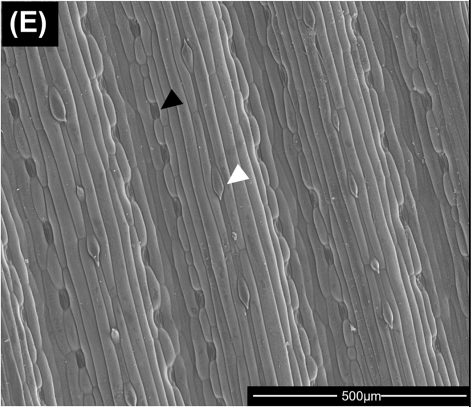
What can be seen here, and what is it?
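This surface view of a grass leaf epidermis shows long, narrow epidermal cells arranged in files running parallel along the leaf. Scattered among the files are raised, teardrop-shaped trichomes with pointed tips, and small elongated stomatal pores that appear as darker slits set in lines between the long cells. The cell walls form raised ridges that give the surface a striped appearance.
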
